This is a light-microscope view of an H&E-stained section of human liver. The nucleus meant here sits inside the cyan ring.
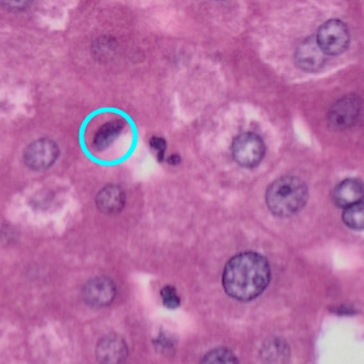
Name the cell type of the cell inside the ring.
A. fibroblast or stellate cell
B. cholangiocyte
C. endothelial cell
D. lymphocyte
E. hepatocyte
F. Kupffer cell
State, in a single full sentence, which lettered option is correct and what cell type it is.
Option A matches the cell inside the ring, which is a fibroblast or stellate cell.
